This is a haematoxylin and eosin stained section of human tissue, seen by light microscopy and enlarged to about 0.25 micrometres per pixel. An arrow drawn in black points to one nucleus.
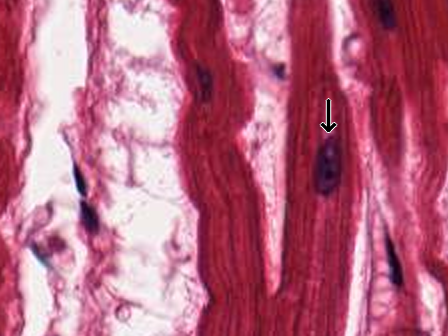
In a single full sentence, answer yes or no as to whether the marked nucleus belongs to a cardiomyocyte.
Yes, the cell that holds the marked nucleus is a cardiomyocyte.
